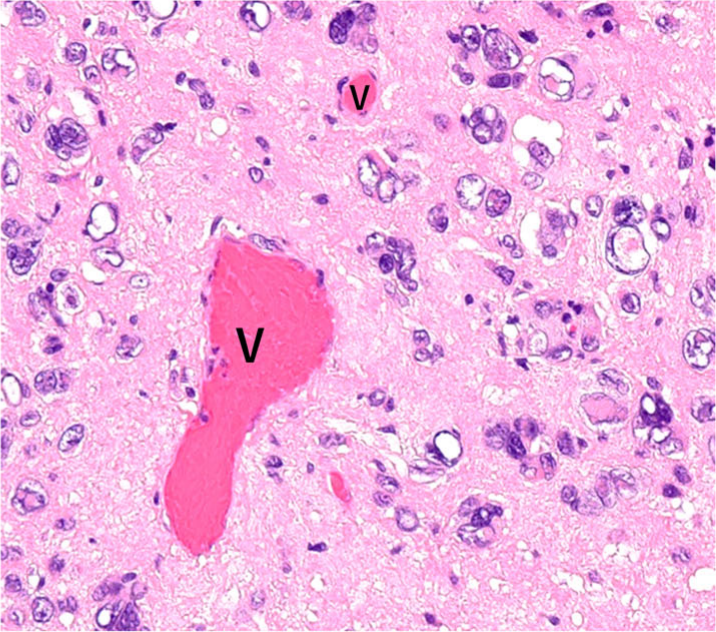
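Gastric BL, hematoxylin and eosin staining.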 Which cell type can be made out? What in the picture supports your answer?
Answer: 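Large scattered cells with big, irregular, vesicular nuclei. Some cells are multinucleated or have prominent nucleoli. The cells lie singly or in small groups within a pink matrix. The answer: Tumor cells.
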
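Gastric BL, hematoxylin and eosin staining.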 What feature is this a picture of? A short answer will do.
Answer: Eosinophilic stroma-like area.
